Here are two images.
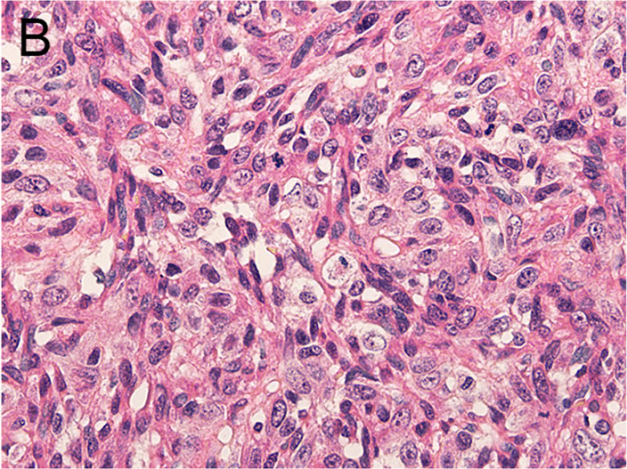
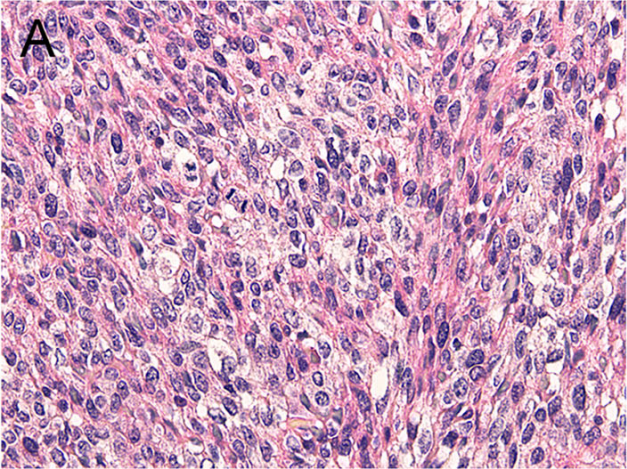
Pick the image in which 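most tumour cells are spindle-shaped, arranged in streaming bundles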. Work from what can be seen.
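First image: many cells are polygonal with abundant pale pink cytoplasm and round to oval nuclei.
Hence: the second image.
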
